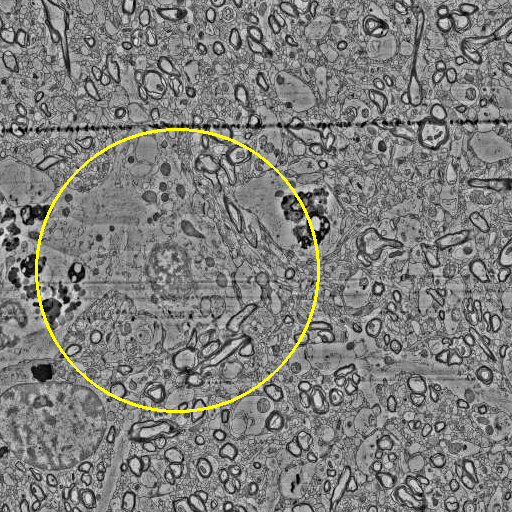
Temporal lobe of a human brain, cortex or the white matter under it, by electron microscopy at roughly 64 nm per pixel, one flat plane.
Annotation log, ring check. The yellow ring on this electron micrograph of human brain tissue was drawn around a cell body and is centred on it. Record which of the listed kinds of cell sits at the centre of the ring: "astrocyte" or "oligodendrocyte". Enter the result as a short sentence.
The cell at the centre of the ring is an astrocyte.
